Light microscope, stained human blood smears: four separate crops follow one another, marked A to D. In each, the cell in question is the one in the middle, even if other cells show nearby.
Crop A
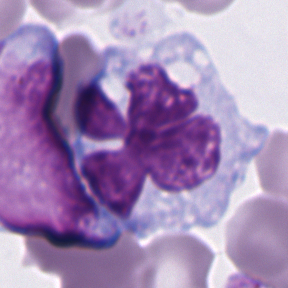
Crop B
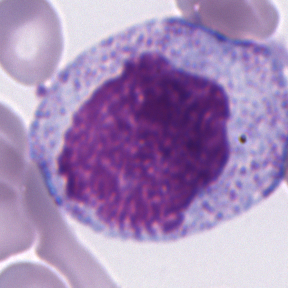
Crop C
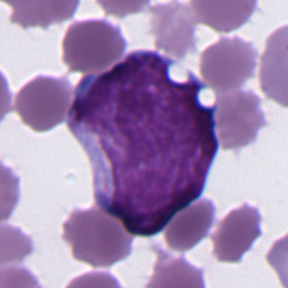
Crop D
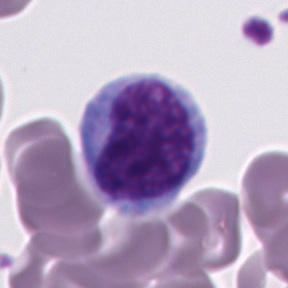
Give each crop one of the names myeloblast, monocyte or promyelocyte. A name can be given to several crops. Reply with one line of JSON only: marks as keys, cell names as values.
{"A": "monocyte", "B": "promyelocyte", "C": "myeloblast", "D": "monocyte"}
